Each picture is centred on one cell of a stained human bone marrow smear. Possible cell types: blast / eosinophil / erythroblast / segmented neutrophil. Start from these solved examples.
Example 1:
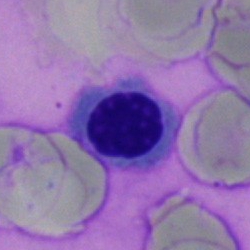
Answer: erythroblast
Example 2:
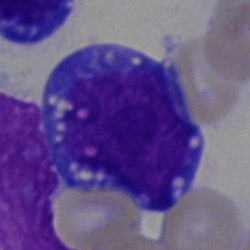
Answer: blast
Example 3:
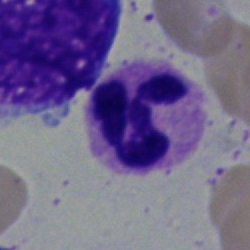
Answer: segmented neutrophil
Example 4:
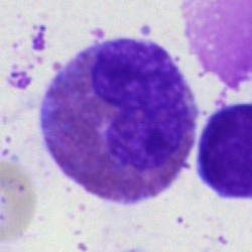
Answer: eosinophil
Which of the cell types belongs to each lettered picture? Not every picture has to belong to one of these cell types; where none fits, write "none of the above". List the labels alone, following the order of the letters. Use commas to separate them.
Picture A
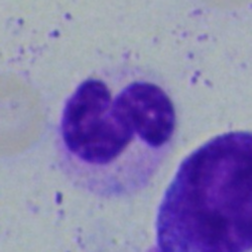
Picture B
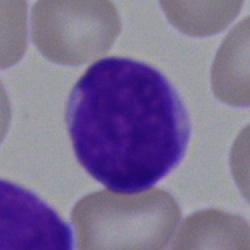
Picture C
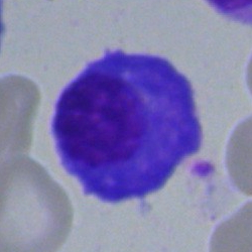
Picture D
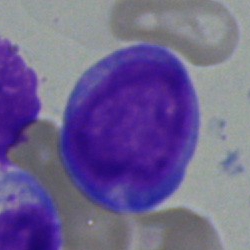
segmented neutrophil, blast, none of the above, blast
